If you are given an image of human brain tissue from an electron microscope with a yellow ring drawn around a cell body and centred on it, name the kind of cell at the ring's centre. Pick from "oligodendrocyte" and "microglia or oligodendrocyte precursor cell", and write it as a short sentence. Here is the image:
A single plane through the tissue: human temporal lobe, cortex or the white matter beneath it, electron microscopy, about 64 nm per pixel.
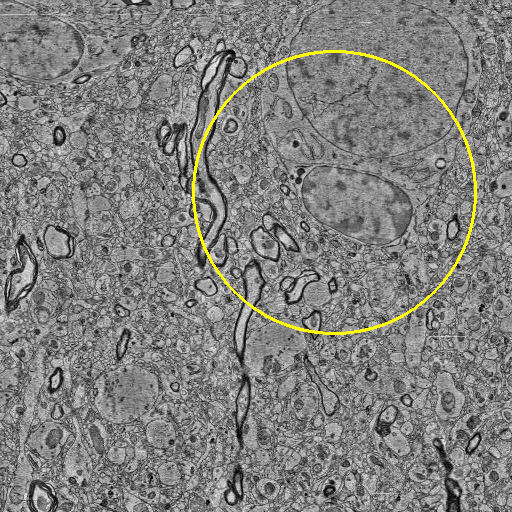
The cell at the ring's centre is a microglial cell or oligodendrocyte precursor cell.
